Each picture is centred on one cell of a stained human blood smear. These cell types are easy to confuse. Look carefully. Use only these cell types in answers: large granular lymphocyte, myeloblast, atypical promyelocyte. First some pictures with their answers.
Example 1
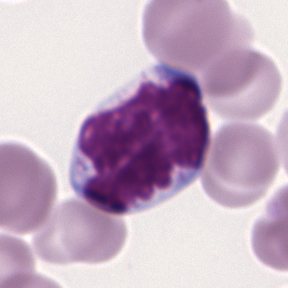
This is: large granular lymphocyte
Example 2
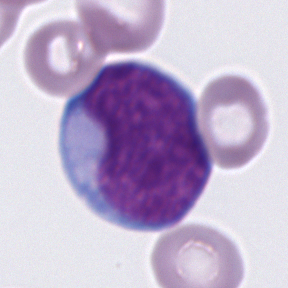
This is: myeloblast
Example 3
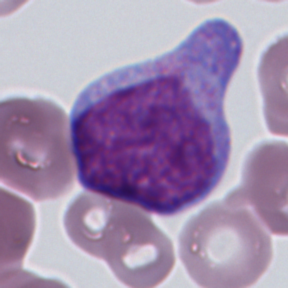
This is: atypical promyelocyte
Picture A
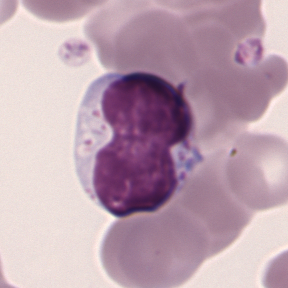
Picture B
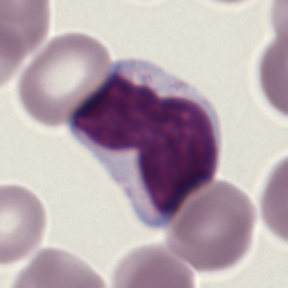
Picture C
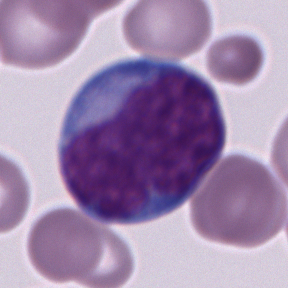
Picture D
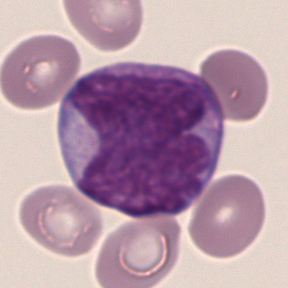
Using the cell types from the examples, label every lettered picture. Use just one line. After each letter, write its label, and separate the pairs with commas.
A large granular lymphocyte, B large granular lymphocyte, C myeloblast, D atypical promyelocyte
